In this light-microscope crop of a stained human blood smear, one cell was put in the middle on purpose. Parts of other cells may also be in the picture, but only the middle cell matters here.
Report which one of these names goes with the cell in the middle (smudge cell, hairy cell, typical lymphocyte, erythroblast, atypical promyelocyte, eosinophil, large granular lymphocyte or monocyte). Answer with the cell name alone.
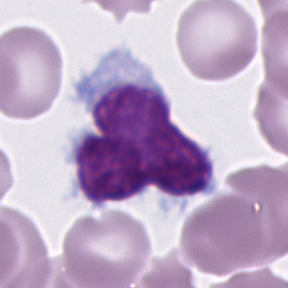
hairy cell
